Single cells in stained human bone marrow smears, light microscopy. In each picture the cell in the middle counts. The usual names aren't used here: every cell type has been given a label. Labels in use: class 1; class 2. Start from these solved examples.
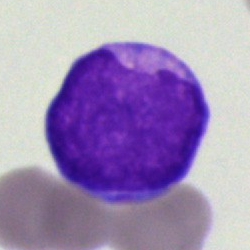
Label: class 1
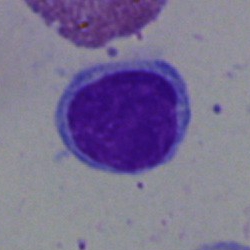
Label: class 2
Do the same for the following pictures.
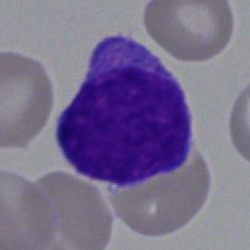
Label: class 1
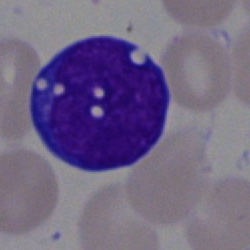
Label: class 1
